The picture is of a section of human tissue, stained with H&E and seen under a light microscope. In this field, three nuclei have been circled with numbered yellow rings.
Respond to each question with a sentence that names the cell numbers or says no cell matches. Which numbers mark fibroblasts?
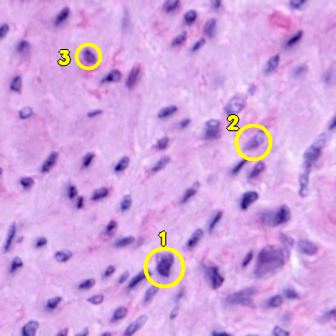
In contrast to the remaining marked cells, cell 1 is a fibroblast.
